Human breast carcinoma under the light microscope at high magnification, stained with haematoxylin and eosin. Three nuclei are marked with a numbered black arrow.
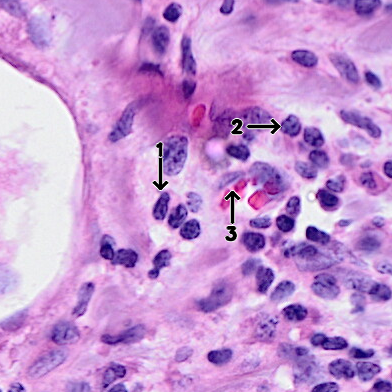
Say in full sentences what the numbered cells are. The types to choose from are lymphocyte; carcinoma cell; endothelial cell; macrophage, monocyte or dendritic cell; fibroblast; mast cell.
Cell 1 is a lymphocyte, cell 2 is a lymphocyte and cell 3 is an endothelial cell.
